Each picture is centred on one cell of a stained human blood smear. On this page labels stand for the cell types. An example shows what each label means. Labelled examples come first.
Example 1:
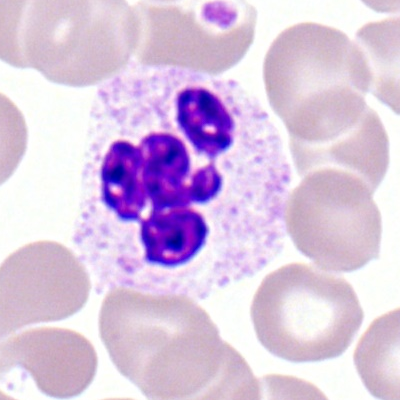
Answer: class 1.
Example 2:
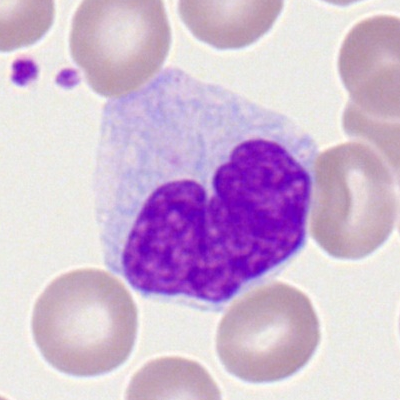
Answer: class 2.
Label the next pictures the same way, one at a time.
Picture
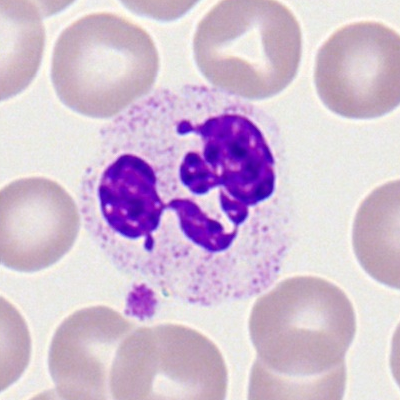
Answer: class 1.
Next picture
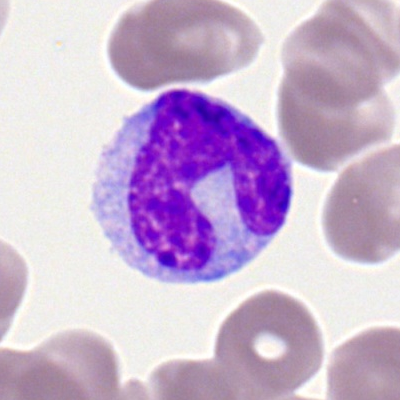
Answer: class 2.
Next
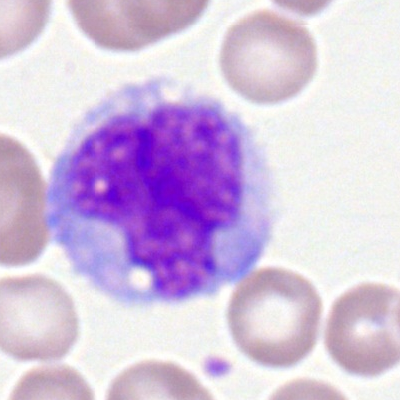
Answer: class 2.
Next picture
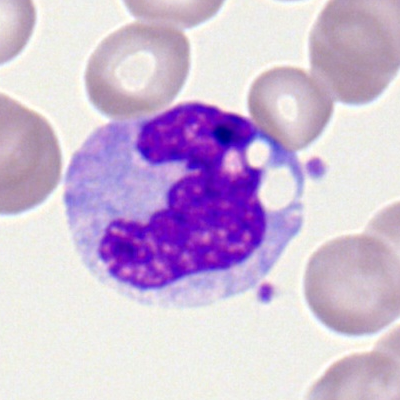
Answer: class 2.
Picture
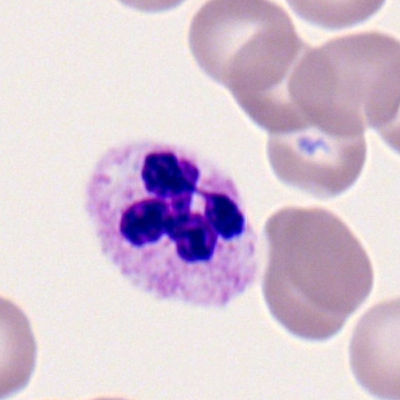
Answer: class 1.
